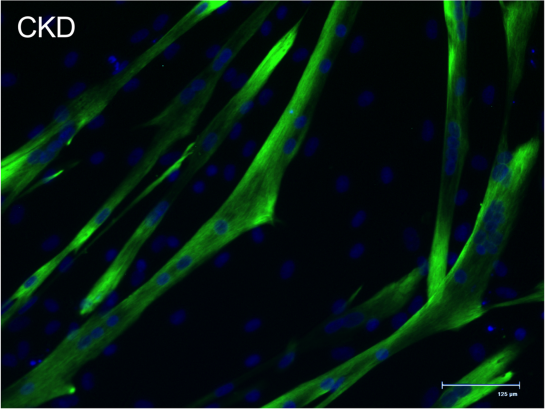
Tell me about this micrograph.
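These are cultured myotubes: elongated green-stained fibres crossing the field mostly diagonally, some broad and fibrillar-looking, others thin and tapering. Blue oval nuclei lie in rows within the fibres. Between the fibres, many single blue nuclei sit in a dark background with little green around them, marking cells that have not fused.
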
